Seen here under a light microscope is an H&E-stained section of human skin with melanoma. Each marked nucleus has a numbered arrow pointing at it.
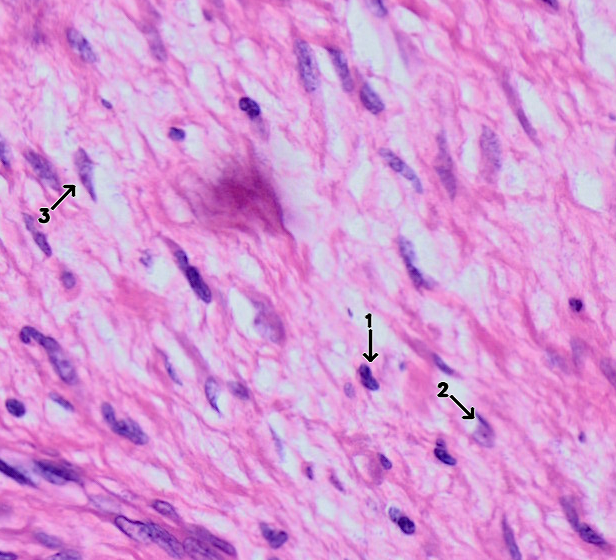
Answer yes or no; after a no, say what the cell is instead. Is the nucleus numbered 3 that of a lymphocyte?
No, it is a fibroblast or myofibroblast.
